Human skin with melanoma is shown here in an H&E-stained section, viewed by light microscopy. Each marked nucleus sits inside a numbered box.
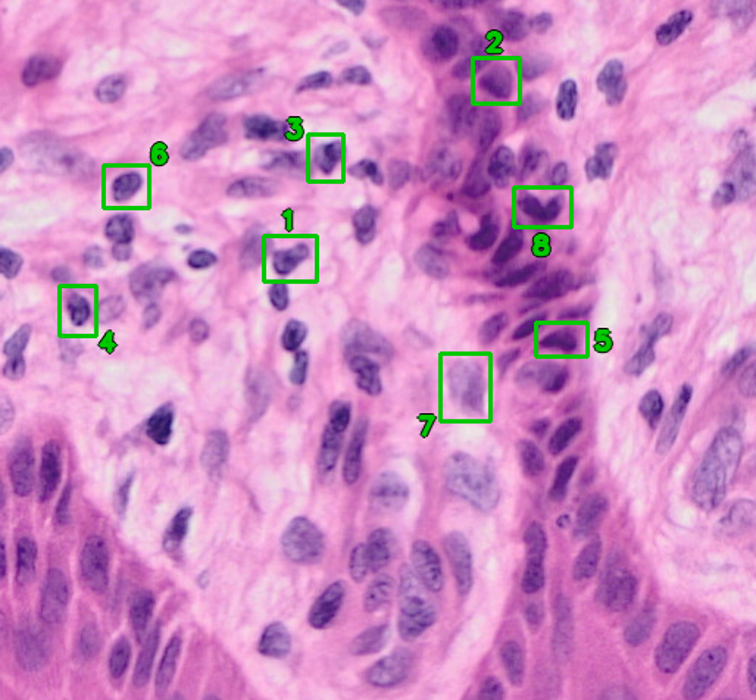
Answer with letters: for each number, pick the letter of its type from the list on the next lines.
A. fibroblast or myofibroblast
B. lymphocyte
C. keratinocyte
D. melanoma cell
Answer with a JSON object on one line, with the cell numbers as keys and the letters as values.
{"1": "B", "2": "C", "3": "B", "4": "B", "5": "C", "6": "B", "7": "A", "8": "C"}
